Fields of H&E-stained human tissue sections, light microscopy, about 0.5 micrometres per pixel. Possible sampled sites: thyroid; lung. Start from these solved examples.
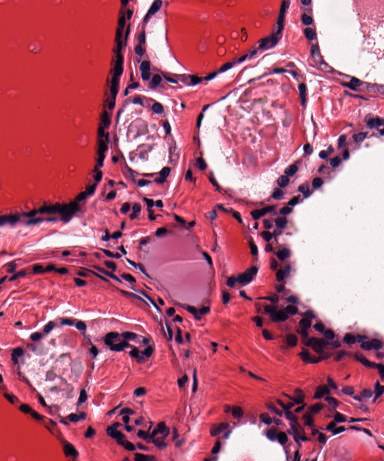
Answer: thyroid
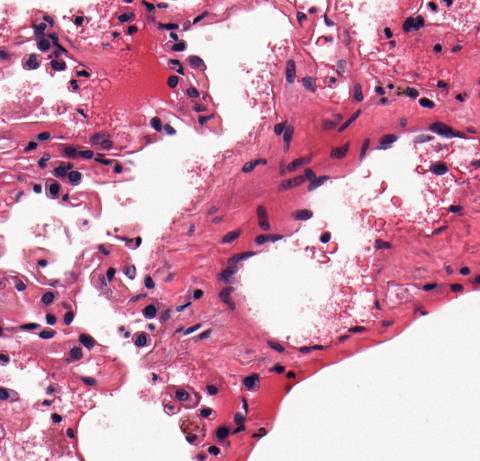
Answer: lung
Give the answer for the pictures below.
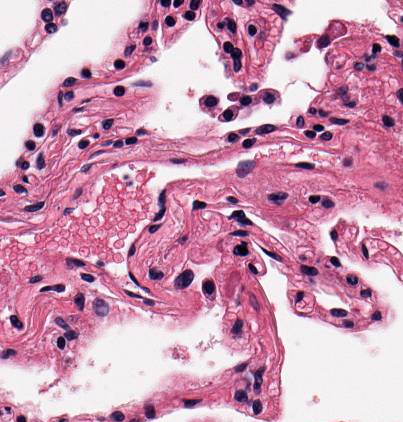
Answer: lung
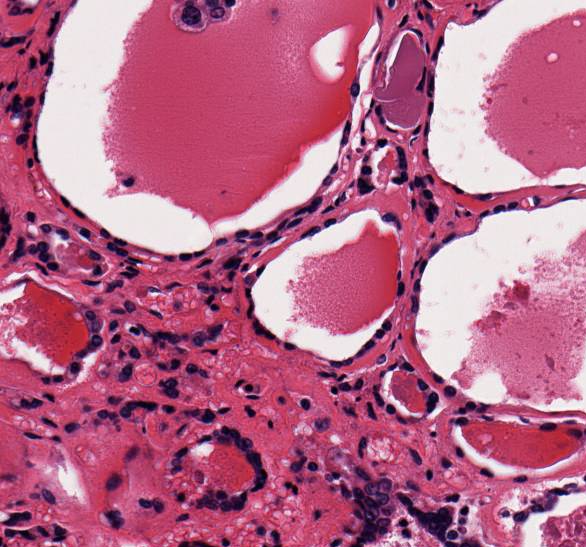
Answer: thyroid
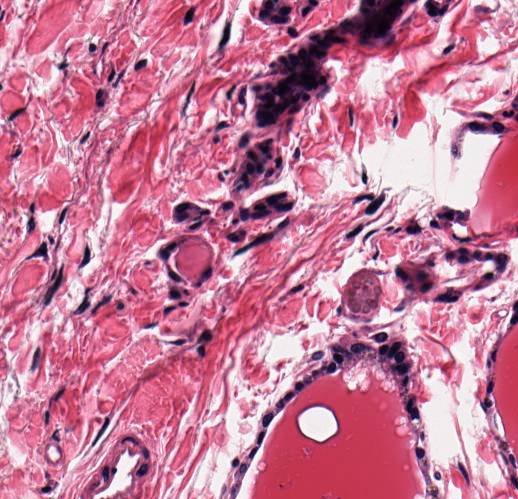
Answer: thyroid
